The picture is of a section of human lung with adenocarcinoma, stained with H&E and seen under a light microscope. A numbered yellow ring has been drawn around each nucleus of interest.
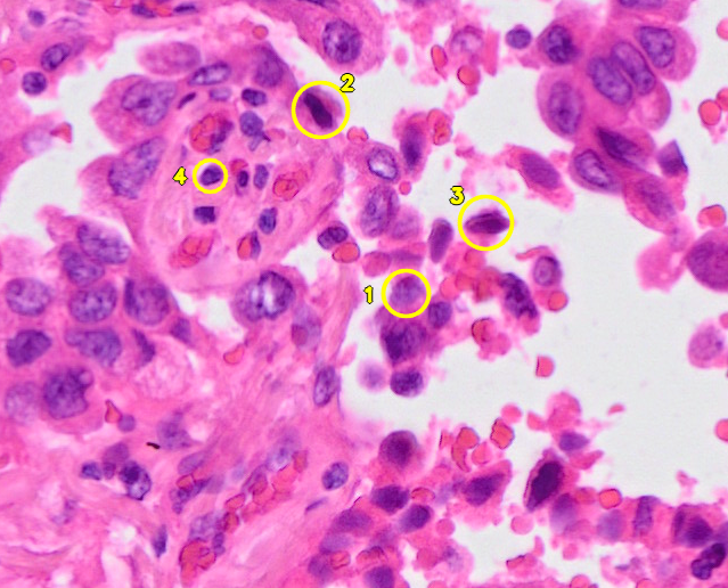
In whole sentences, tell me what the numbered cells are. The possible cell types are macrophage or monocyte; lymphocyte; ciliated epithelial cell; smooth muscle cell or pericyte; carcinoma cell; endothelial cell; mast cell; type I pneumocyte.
Cell 1 is a carcinoma cell, cell 2 is a carcinoma cell, cell 3 is a carcinoma cell and cell 4 is a lymphocyte.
